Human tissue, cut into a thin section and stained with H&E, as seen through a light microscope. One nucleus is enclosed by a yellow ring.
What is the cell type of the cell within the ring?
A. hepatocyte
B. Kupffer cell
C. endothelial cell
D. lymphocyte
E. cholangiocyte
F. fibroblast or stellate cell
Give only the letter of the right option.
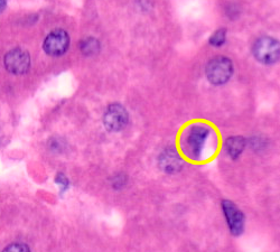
C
